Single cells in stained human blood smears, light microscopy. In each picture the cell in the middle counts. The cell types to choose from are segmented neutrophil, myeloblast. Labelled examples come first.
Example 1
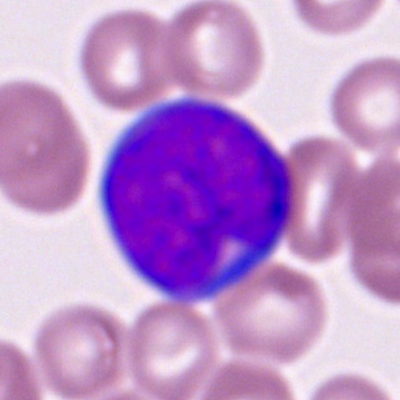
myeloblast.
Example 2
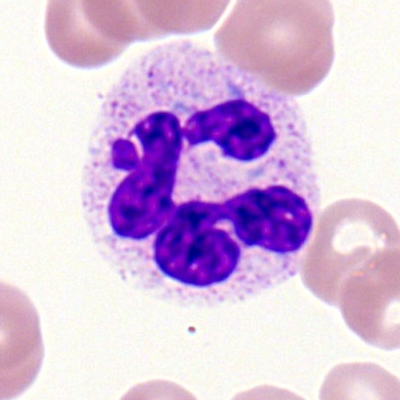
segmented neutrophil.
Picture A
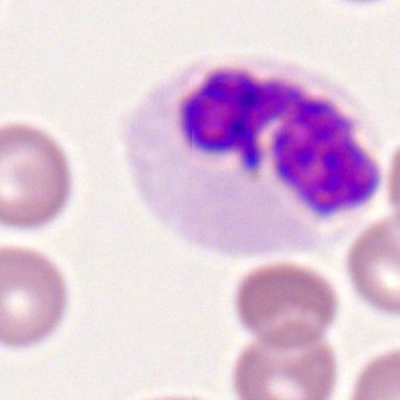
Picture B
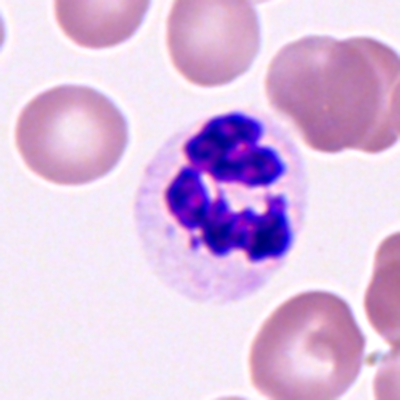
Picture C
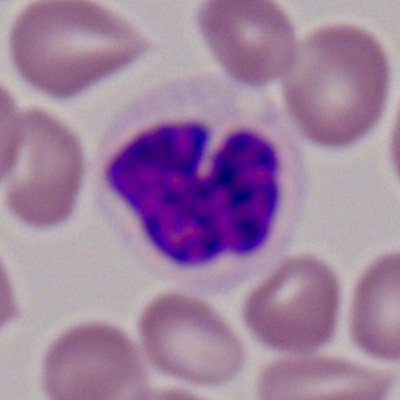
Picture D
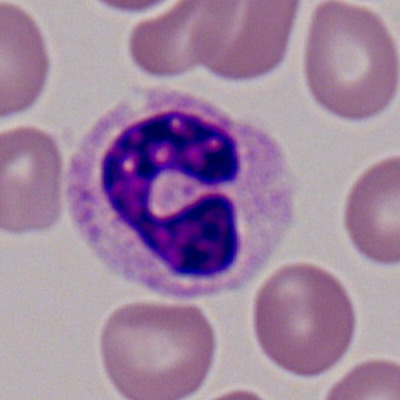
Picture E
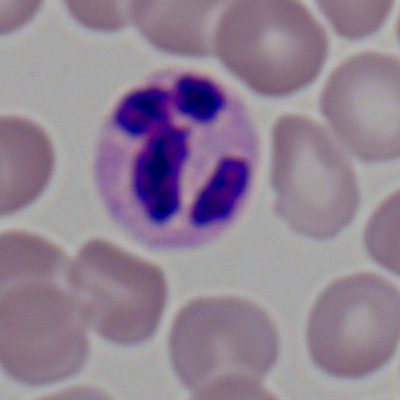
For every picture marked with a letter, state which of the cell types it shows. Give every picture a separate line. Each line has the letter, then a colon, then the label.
A: segmented neutrophil.
B: segmented neutrophil.
C: segmented neutrophil.
D: segmented neutrophil.
E: segmented neutrophil.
